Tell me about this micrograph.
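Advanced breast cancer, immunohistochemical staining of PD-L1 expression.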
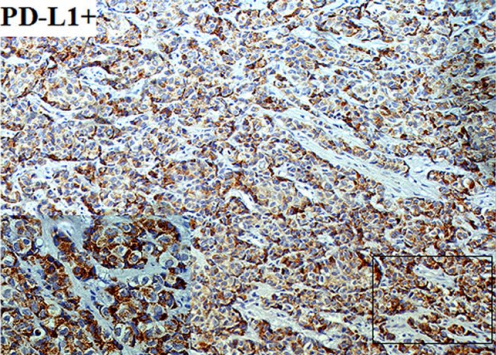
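The tumor cells are crowded and carry a strong brown stain along their borders and through their cytoplasm, so the nests stand out dark against the paler tissue. Their nuclei are blue and rounded. Between the nests run pale blue bands of stroma containing elongated, spindle-shaped cells.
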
